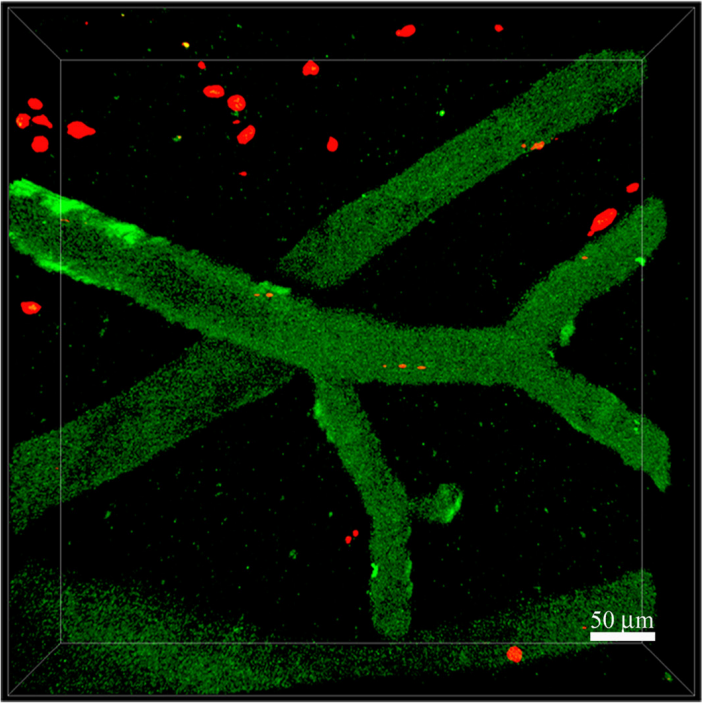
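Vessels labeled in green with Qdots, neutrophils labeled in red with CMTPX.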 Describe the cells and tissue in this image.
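A few broad green tubes cross the field, branching in places, with a grainy, evenly filled lumen and no stain in the dark tissue around them. Many small red bodies, round to oval and some slightly irregular, lie scattered singly in the dark space well away from the tubes, with only a few tiny red dots on the tubes themselves.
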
